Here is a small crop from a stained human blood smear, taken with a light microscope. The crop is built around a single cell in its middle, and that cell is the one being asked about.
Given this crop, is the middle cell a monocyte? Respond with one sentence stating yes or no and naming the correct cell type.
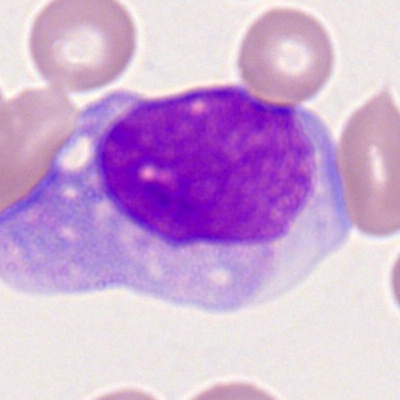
Yes, this central cell is a monocyte.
